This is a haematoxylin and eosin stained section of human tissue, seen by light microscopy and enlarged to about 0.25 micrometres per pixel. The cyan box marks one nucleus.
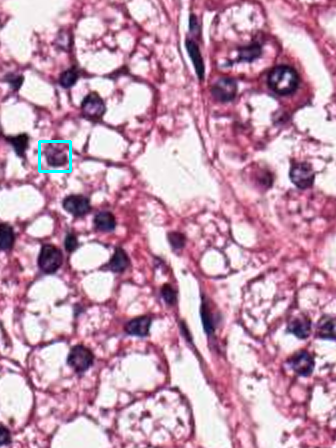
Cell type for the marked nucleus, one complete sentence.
The cell bearing the marked nucleus is an adrenal cortical cell.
